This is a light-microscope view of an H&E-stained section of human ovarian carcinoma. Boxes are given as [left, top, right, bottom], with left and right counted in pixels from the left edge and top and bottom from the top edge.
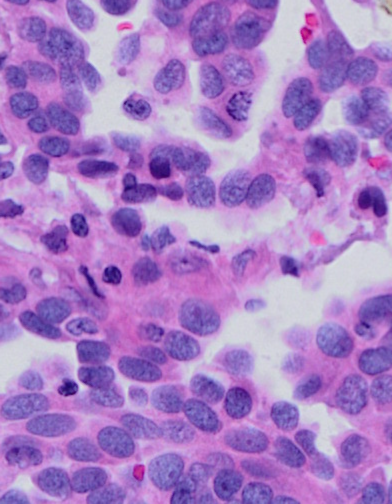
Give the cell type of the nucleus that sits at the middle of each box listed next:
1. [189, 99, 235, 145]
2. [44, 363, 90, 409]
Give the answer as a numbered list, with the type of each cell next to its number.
1. carcinoma cell
2. lymphocyte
